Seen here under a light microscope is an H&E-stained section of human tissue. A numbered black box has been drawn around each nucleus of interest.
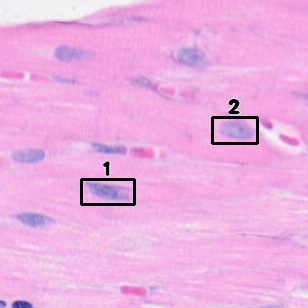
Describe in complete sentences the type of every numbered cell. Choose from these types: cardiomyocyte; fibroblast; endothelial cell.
Cell 1 is an endothelial cell and cell 2 is a cardiomyocyte.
